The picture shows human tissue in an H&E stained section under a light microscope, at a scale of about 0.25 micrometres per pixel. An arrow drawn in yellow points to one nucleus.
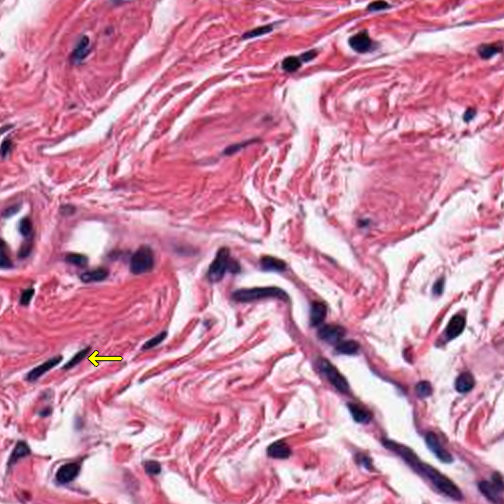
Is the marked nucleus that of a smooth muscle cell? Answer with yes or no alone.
no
